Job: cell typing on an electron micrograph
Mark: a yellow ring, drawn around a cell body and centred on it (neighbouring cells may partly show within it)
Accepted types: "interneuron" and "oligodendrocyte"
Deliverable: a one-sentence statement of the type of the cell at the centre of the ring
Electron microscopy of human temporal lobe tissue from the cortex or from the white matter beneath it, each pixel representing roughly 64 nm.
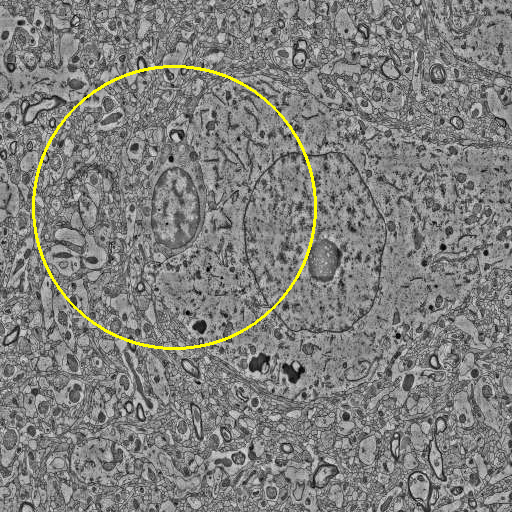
The centred cell body is that of an oligodendrocyte.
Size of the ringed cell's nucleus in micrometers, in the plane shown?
The ringed cell's nucleus is about 5 micrometres long and 3 micrometres wide in this plane.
